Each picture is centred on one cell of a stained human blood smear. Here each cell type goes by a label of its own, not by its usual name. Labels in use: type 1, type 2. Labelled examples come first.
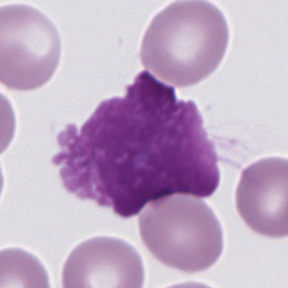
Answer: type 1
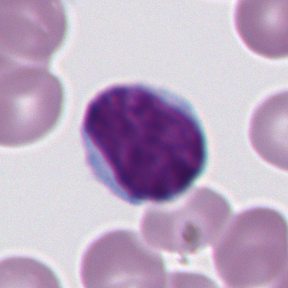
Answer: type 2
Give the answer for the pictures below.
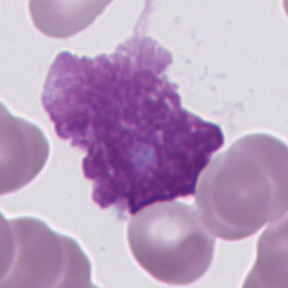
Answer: type 1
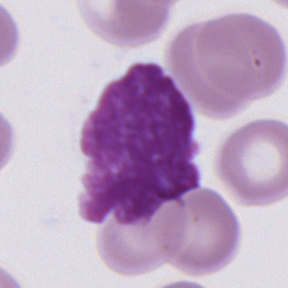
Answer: type 1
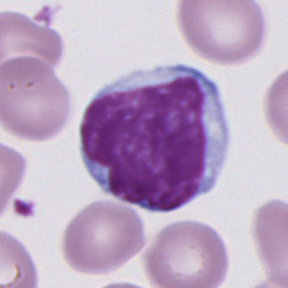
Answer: type 2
